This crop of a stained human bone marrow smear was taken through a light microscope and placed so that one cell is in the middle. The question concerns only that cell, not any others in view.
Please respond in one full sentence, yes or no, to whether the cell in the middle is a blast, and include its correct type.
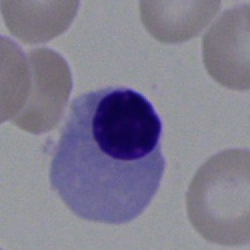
No, the central cell is classed as a normoblast, not a blast.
